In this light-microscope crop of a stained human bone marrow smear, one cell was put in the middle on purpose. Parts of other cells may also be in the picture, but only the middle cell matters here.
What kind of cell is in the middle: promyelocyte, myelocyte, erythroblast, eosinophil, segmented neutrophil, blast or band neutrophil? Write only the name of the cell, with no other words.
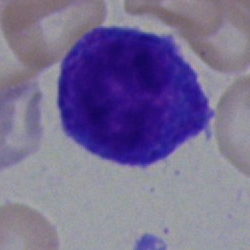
promyelocyte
